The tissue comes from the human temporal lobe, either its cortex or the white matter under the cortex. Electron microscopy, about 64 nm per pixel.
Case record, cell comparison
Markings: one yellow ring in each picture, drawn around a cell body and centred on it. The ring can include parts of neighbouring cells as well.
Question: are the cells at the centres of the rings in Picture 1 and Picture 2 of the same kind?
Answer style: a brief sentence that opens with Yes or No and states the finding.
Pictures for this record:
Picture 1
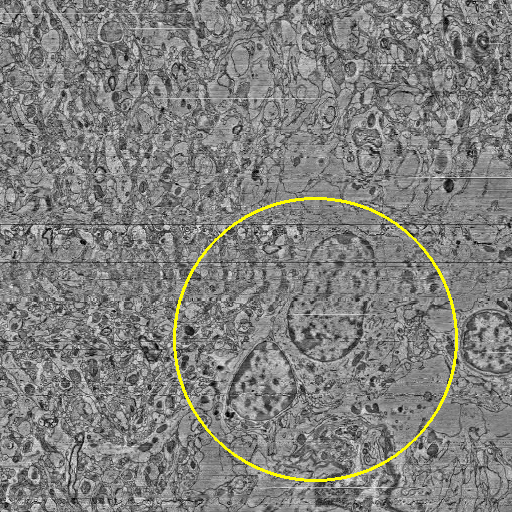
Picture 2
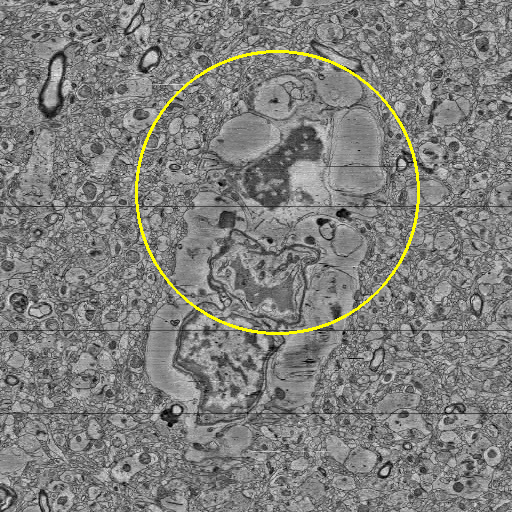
Yes, the cells in Picture 1 and Picture 2 are of the same kind.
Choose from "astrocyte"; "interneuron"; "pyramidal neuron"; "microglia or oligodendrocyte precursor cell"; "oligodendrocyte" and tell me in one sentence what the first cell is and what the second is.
Both pictures show a microglial cell or oligodendrocyte precursor cell at the centre of the ring.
